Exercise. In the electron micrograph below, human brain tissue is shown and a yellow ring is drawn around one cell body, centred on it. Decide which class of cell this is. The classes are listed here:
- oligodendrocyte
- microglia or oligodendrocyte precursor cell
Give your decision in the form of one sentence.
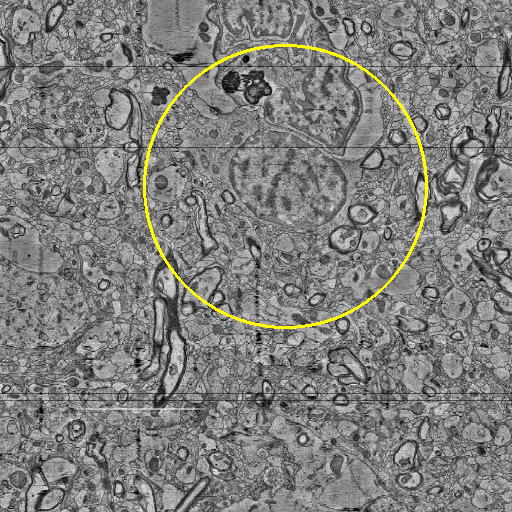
The cell body marked by the ring belongs to an oligodendrocyte.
